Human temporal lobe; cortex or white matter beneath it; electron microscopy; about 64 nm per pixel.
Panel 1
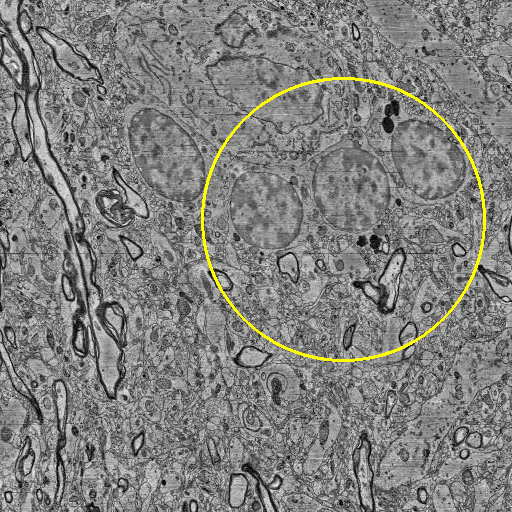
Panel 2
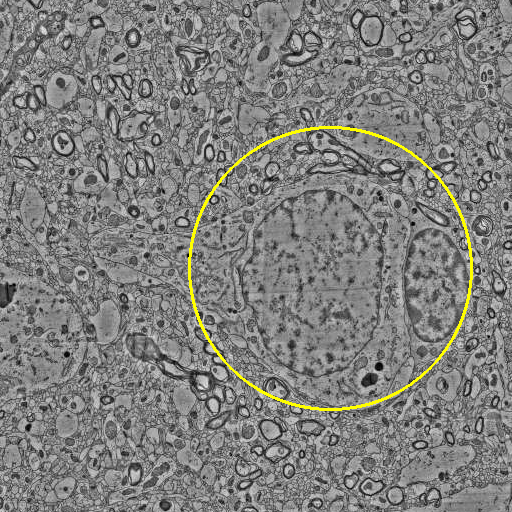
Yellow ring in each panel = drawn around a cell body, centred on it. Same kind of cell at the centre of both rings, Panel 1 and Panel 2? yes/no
no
